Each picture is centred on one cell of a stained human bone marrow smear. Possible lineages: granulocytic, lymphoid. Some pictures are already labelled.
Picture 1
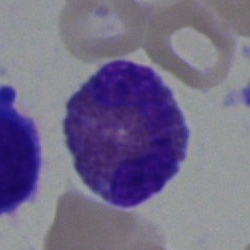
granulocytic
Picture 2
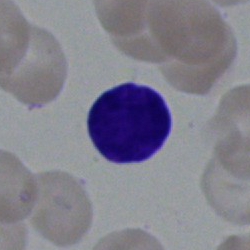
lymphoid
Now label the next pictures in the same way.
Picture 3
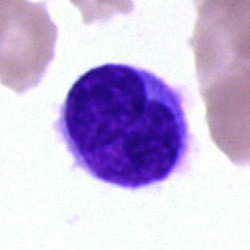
lymphoid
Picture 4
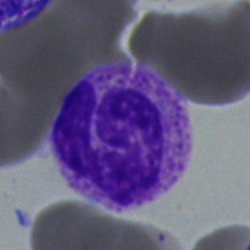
granulocytic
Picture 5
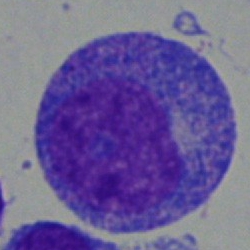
granulocytic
